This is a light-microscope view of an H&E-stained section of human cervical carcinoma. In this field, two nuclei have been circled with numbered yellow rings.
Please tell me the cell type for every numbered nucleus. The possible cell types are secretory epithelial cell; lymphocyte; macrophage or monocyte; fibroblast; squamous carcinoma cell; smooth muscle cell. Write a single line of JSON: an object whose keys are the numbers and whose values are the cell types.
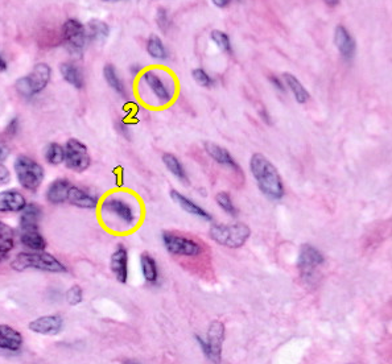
{"1": "lymphocyte", "2": "smooth muscle cell"}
